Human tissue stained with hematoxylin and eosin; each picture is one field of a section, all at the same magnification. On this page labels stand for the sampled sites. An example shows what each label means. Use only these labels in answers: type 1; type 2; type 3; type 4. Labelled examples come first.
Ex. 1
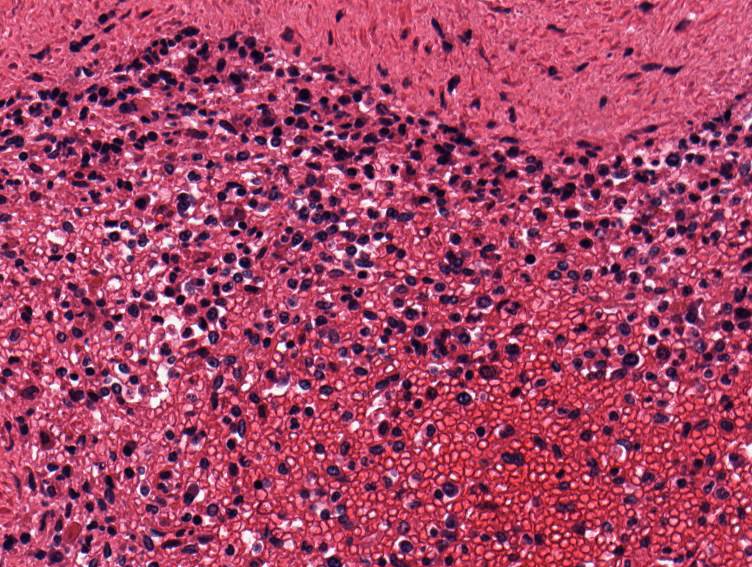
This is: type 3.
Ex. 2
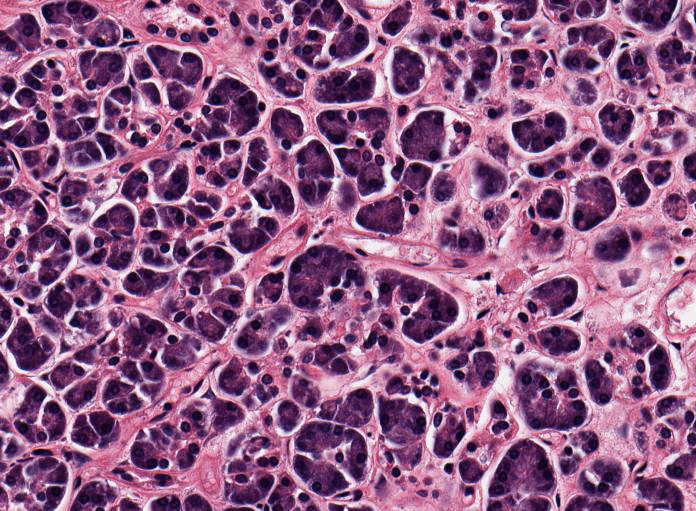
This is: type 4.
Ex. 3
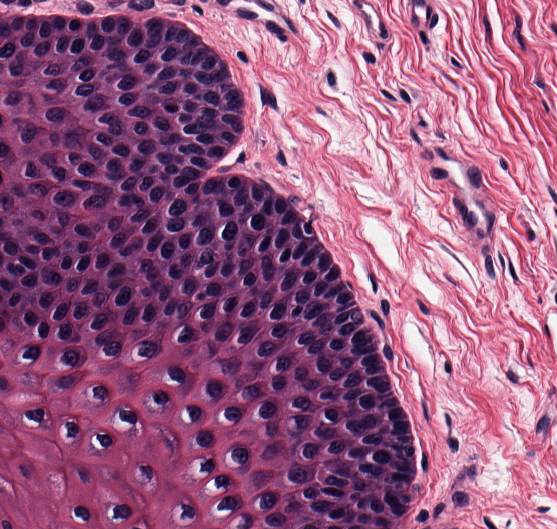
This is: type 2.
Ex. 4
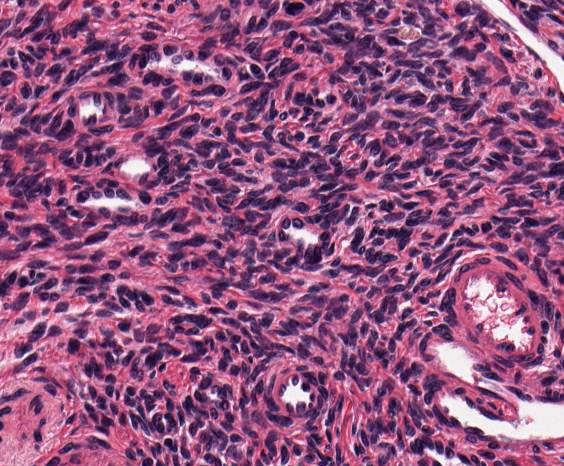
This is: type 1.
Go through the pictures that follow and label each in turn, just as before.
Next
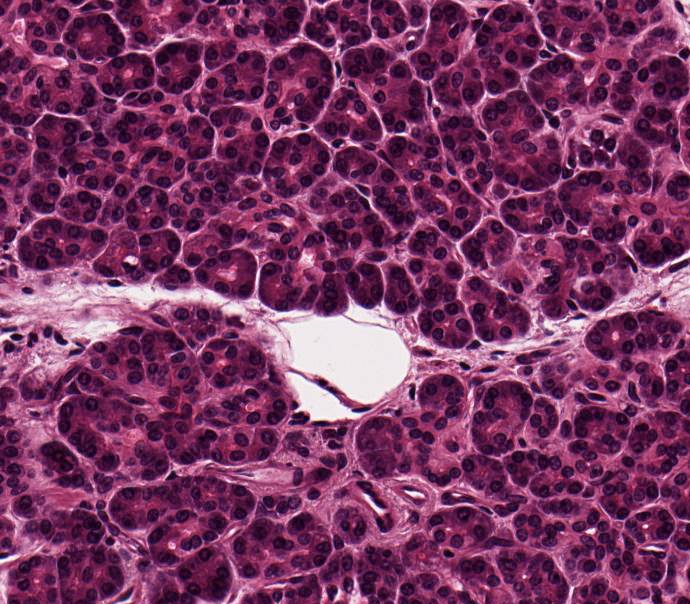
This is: type 4.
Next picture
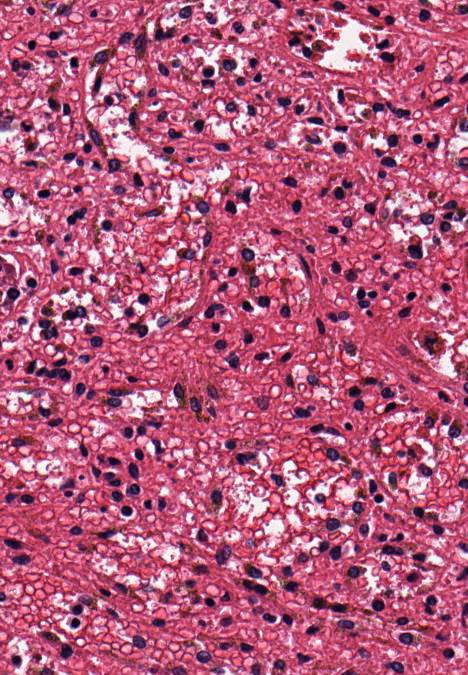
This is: type 3.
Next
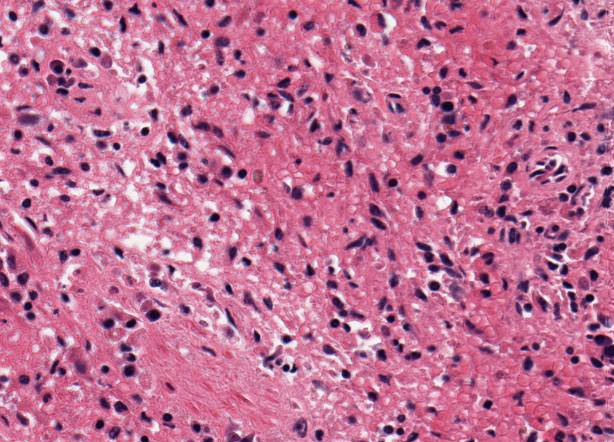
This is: type 3.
